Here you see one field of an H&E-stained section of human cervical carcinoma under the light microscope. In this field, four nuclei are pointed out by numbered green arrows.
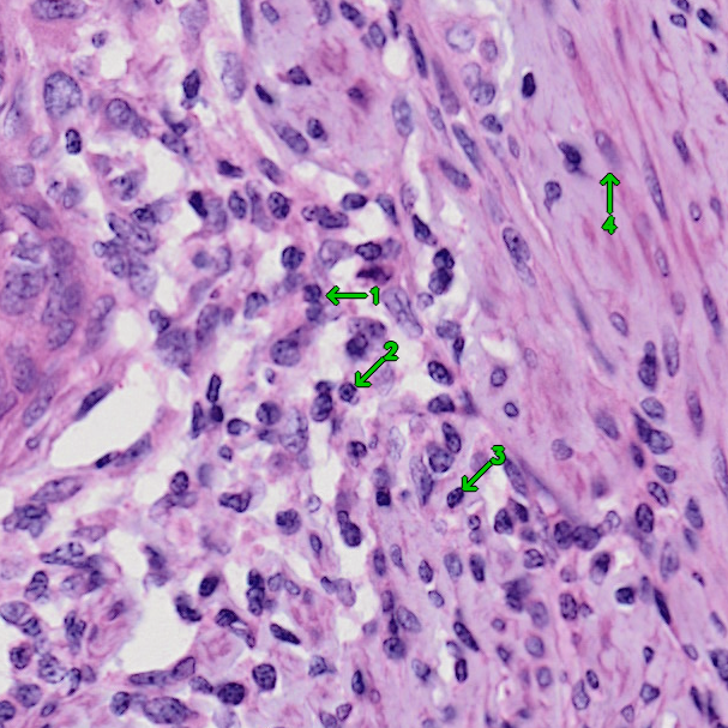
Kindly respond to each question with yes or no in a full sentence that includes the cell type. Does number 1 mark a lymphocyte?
Yes, regarding number 1, the cell is a lymphocyte.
